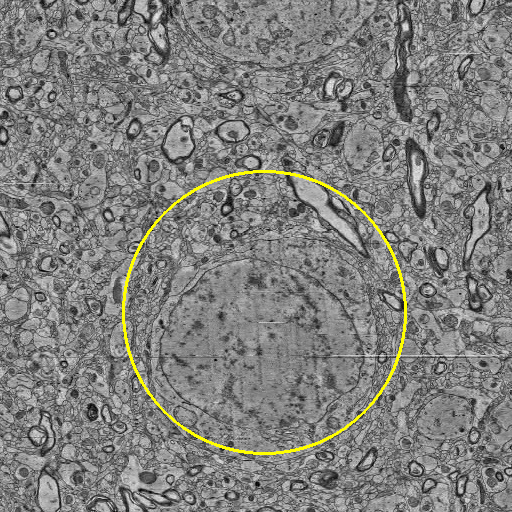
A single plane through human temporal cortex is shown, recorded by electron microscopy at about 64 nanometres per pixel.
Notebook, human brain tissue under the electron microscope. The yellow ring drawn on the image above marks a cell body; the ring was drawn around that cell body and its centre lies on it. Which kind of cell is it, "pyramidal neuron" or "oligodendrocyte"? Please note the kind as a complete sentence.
The marked cell body is that of a pyramidal neuron.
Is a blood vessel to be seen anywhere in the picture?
No, no blood vessel can be seen.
